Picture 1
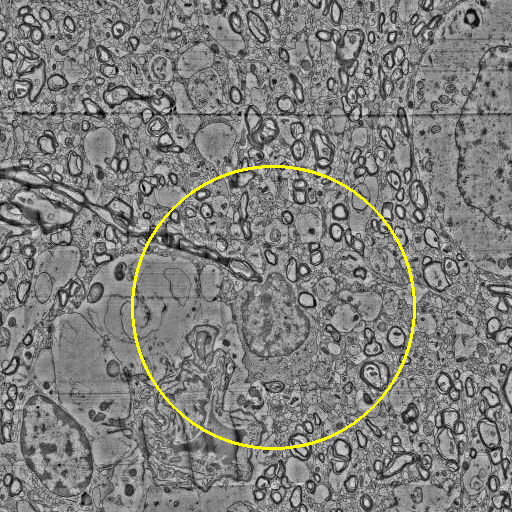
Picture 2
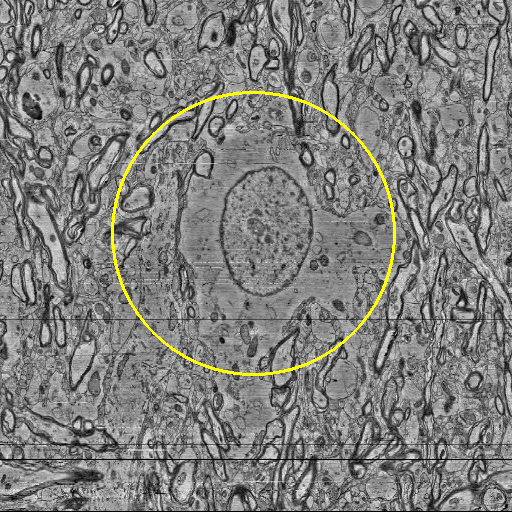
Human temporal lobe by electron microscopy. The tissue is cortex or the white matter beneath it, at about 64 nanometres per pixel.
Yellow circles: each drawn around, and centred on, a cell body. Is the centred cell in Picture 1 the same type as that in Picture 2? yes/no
no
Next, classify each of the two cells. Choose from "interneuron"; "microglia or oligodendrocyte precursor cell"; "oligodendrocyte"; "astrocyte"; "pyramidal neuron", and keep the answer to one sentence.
In the first picture it is an oligodendrocyte; in the second it is an astrocyte.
